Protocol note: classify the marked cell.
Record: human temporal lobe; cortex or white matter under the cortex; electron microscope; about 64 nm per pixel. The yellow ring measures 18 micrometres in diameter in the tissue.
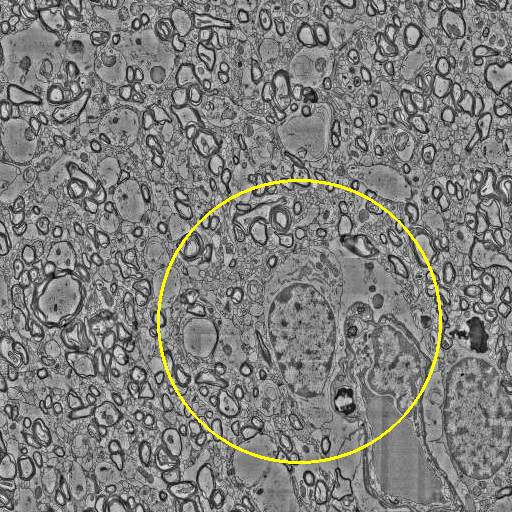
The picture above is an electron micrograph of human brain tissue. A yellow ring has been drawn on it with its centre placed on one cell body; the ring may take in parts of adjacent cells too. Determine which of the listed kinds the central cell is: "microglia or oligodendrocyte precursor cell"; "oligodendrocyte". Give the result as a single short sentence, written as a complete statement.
The central cell is a microglial cell or oligodendrocyte precursor cell.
